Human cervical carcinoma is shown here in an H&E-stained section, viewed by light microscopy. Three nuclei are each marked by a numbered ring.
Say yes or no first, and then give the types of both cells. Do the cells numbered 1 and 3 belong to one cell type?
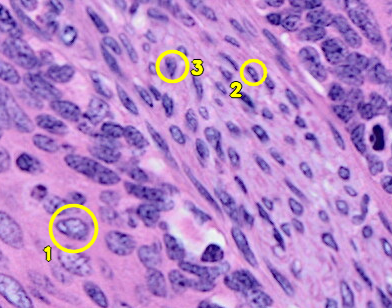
No, cell 1 is a squamous carcinoma cell and cell 3 is a smooth muscle cell.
